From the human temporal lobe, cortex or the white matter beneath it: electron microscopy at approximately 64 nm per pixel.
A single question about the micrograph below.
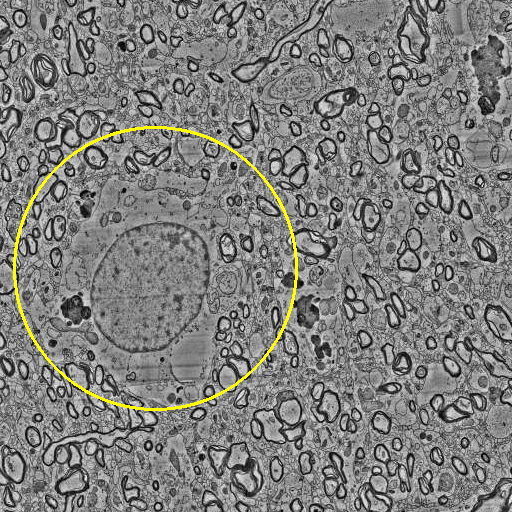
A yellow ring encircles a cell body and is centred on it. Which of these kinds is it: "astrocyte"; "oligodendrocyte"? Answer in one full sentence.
The cell body at the centre of the yellow ring belongs to an astrocyte.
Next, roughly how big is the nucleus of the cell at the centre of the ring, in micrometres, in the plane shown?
The nucleus works out at approximately 9 by 7 micrometres in this plane.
